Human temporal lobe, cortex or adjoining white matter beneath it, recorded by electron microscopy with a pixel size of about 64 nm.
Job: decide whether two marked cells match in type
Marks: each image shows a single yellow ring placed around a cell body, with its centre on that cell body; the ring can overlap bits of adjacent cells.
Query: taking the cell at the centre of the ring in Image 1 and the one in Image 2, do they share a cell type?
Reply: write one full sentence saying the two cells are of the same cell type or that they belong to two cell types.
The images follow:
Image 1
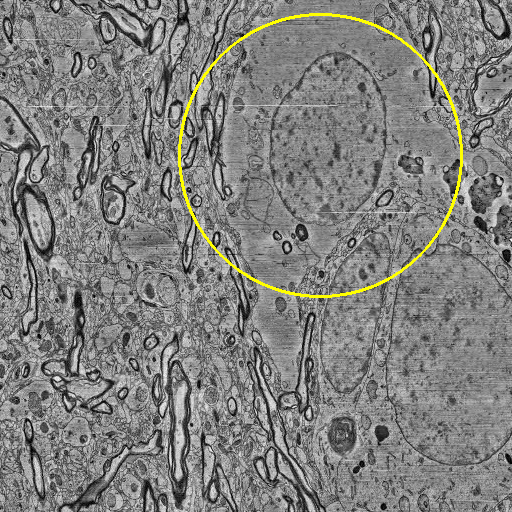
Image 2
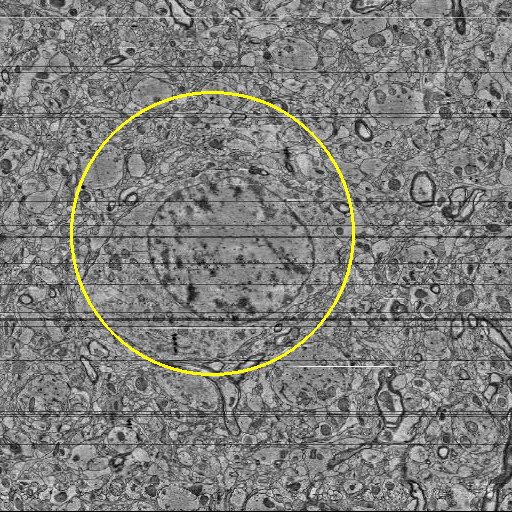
The cells at the ring centres in Image 1 and Image 2 belong to two cell types.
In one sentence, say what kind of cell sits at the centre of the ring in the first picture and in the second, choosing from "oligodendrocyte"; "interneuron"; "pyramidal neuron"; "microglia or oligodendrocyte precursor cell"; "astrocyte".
The first picture's ringed cell is an astrocyte, while the second picture's is an interneuron.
